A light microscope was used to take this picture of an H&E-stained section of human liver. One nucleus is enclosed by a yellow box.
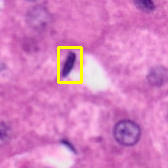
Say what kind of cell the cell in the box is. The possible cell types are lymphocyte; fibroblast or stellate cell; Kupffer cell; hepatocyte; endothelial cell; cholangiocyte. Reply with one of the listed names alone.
endothelial cell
